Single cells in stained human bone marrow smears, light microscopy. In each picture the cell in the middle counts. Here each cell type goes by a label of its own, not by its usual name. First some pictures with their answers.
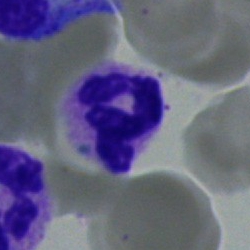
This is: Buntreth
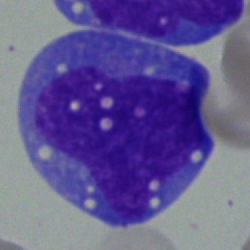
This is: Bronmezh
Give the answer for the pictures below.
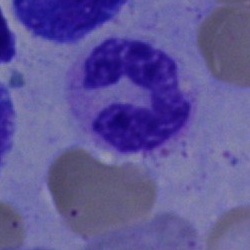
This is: Buntreth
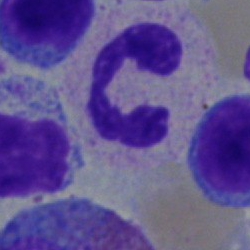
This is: Buntreth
